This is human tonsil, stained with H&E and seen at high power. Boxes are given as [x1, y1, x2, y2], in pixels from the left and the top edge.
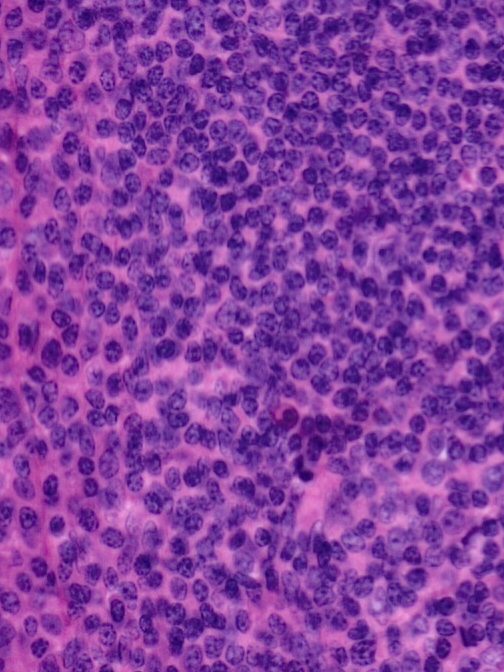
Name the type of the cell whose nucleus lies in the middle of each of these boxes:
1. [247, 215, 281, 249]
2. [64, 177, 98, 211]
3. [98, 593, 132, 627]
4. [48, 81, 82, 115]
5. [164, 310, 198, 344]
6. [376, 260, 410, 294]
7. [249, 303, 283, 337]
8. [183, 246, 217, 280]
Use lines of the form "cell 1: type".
cell 1: small lymphocyte
cell 2: plasma cell
cell 3: plasma cell
cell 4: plasma cell
cell 5: small lymphocyte
cell 6: small lymphocyte
cell 7: small lymphocyte
cell 8: small lymphocyte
